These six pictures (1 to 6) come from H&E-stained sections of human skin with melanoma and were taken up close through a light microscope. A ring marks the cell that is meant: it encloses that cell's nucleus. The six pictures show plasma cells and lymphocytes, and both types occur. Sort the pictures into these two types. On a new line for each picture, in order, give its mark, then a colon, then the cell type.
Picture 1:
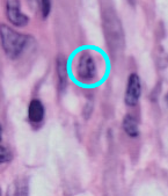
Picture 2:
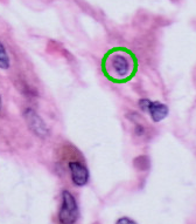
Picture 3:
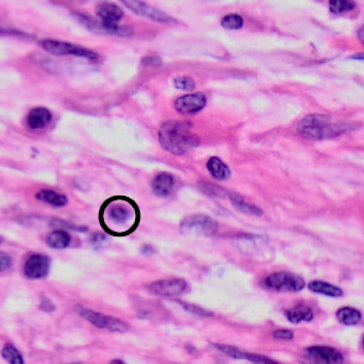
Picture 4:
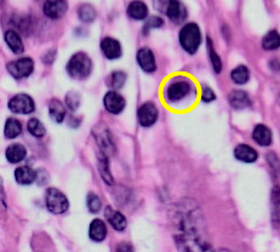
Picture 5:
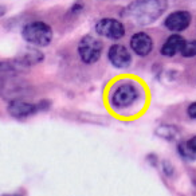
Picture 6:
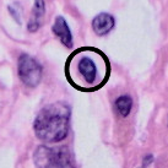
1: plasma cell
2: lymphocyte
3: plasma cell
4: plasma cell
5: plasma cell
6: lymphocyte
